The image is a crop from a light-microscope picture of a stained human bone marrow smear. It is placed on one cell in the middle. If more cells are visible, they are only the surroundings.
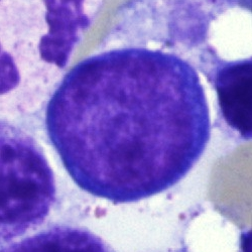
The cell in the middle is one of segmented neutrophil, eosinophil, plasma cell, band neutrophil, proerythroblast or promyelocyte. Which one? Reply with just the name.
proerythroblast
